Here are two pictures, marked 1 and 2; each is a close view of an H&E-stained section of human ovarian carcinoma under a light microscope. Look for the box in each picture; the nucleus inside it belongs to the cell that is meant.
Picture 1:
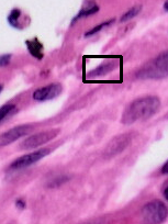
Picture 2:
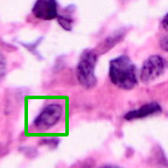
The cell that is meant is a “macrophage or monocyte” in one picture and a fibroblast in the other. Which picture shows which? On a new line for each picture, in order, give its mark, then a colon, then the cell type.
1: fibroblast
2: macrophage or monocyte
